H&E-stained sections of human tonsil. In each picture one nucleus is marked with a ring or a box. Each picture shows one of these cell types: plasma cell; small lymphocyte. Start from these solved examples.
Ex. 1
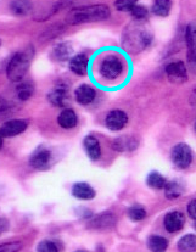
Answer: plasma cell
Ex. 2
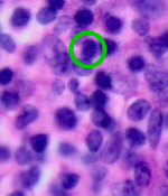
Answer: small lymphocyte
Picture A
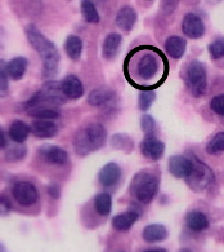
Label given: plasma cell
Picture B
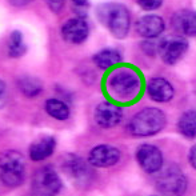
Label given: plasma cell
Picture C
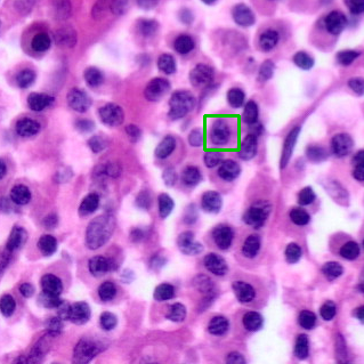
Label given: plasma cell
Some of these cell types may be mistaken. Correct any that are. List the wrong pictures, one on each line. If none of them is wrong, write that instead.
No label is wrong.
